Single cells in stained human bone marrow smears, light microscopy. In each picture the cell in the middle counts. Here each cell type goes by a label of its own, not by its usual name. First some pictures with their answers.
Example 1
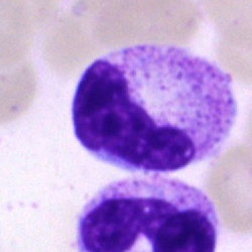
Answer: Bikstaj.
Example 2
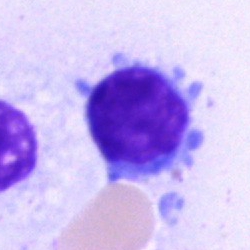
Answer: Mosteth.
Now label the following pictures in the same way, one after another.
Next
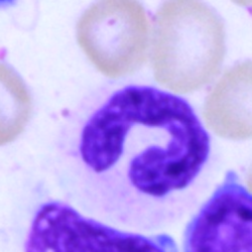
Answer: Bikstaj.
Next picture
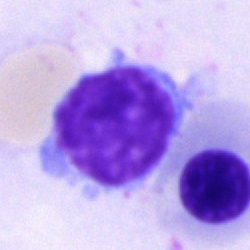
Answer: Mosteth.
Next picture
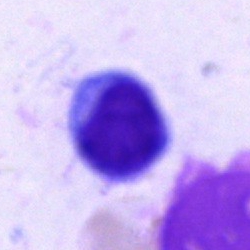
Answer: Mosteth.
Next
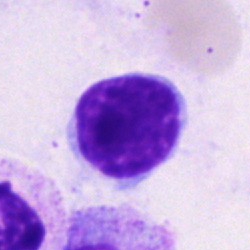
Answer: Mosteth.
